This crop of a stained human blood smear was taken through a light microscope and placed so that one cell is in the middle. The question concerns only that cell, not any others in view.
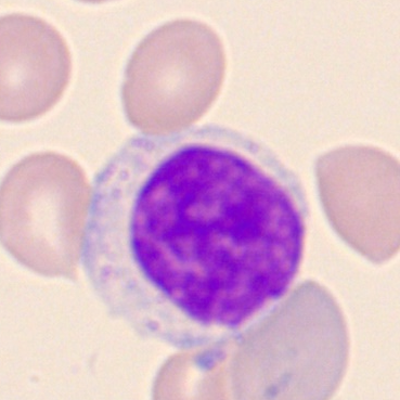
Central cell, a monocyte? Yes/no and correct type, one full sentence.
No, the central cell is not a monocyte; it is a lymphocyte.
